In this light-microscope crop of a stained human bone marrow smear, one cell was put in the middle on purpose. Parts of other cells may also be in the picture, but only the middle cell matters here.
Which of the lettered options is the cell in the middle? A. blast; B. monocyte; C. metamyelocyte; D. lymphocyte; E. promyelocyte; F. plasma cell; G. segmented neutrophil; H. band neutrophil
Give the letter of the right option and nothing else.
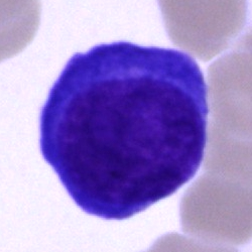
F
